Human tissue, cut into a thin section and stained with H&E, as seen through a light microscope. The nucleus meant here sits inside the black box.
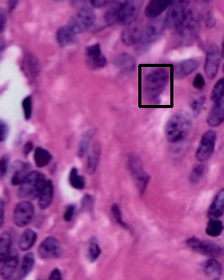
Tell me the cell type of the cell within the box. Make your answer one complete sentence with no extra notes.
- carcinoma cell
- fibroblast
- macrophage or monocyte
Labelled by cell type, the cell within the box is a carcinoma cell.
